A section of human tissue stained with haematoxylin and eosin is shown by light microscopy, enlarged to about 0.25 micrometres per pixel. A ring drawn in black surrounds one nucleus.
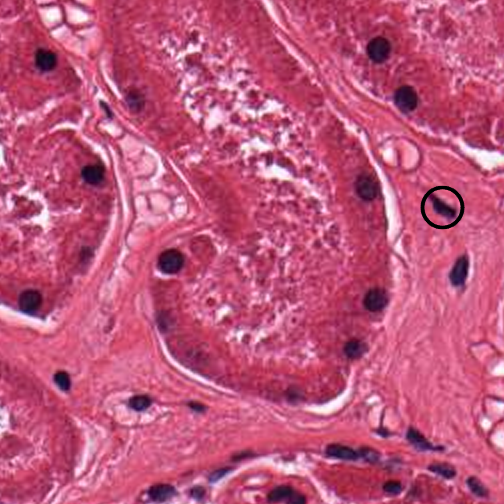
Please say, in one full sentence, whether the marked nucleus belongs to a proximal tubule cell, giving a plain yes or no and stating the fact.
No, the marked nucleus resides in a supporting cell, not in a proximal tubule cell.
